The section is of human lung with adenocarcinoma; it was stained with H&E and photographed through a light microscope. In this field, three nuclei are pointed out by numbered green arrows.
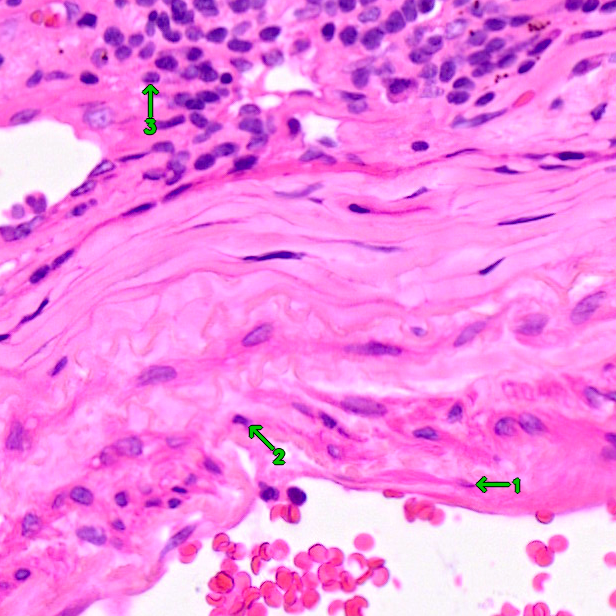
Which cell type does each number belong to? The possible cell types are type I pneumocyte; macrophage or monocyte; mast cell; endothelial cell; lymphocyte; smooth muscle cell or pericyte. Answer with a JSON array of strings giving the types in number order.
["smooth muscle cell or pericyte", "smooth muscle cell or pericyte", "lymphocyte"]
